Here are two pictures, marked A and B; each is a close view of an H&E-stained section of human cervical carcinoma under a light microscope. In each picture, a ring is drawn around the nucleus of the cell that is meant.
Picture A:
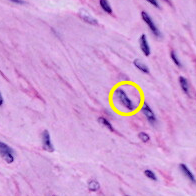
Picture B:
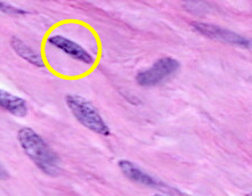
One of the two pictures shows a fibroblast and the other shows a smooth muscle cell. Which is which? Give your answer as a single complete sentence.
Picture A shows a smooth muscle cell and picture B shows a fibroblast.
